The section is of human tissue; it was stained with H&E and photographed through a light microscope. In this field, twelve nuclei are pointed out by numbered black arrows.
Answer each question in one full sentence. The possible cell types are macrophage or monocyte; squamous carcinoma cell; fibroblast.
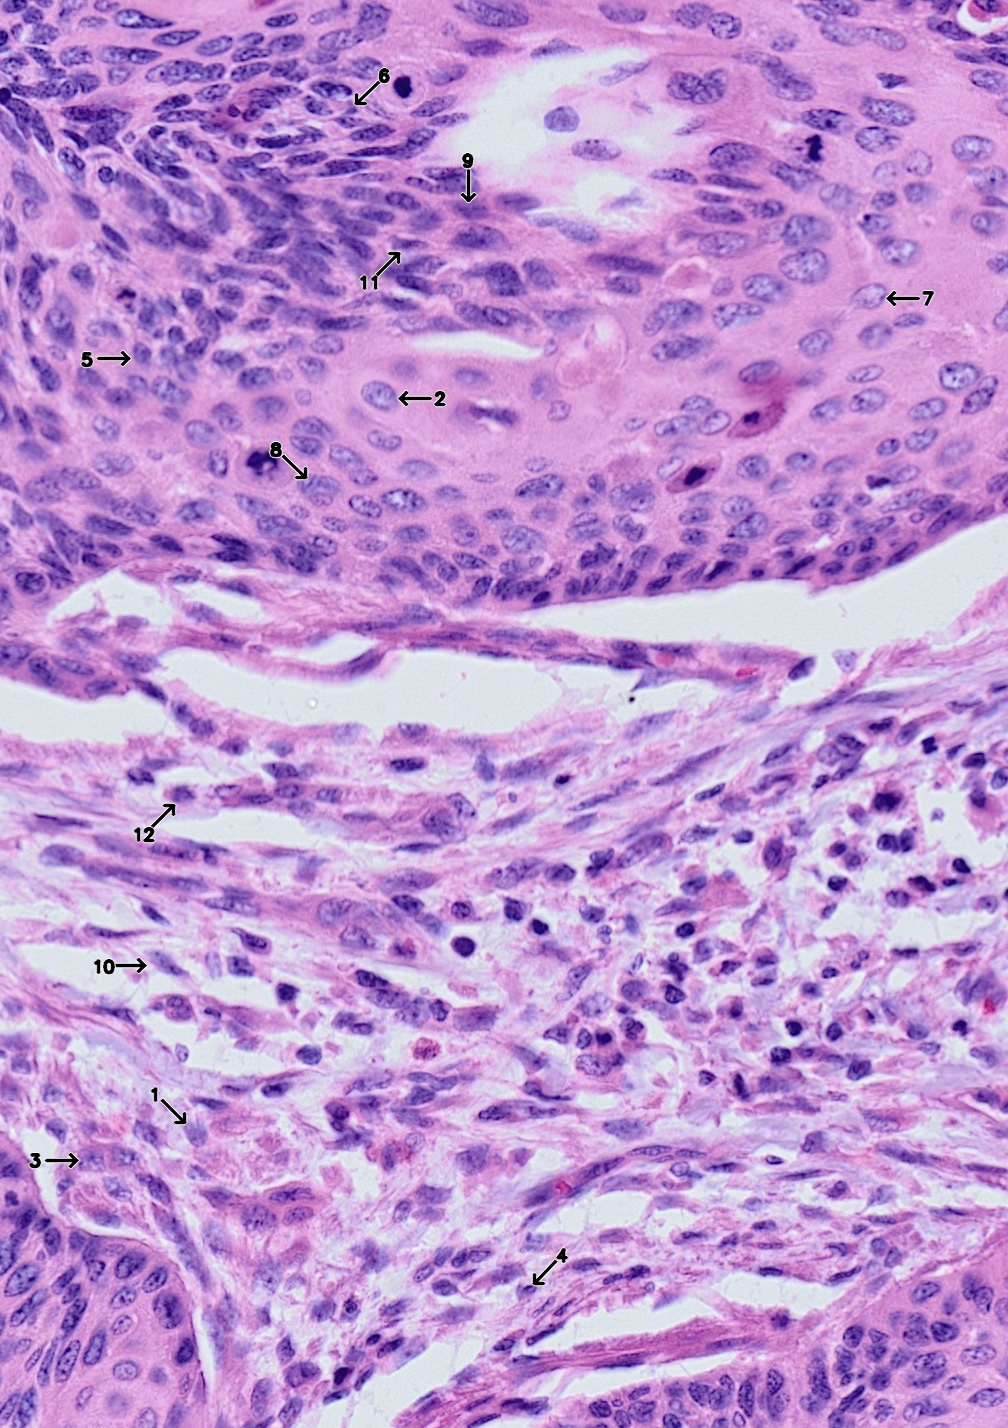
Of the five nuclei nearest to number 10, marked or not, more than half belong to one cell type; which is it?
Macrophages or monocytes account for more than half of the five nuclei nearest to number 10.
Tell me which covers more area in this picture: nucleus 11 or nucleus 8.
The larger nucleus is 8, at roughly 2.5 times the area of 11.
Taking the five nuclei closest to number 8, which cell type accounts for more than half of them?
Of the five nuclei nearest to number 8, most belong to squamous carcinoma cells.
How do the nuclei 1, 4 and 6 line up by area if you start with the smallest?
By area, going up from the smallest, they rank 6, 4, 1.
